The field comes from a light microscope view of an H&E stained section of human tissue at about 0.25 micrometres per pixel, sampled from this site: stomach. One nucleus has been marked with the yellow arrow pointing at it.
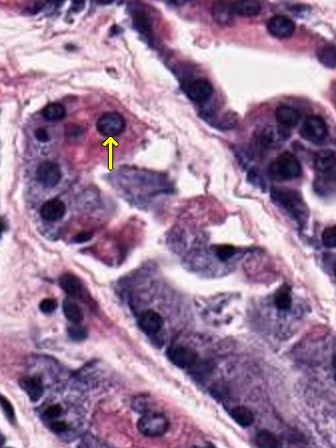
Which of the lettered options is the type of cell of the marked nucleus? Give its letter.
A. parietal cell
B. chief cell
A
